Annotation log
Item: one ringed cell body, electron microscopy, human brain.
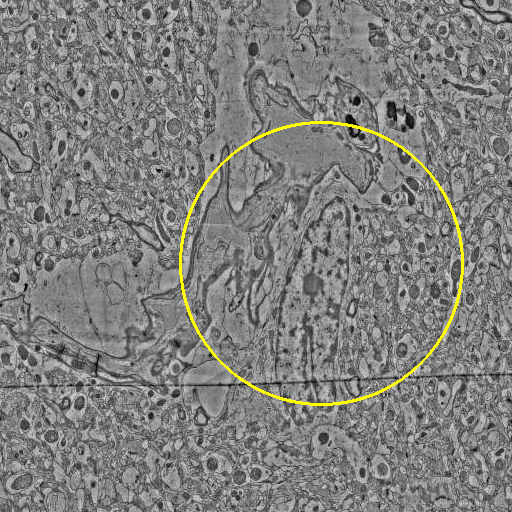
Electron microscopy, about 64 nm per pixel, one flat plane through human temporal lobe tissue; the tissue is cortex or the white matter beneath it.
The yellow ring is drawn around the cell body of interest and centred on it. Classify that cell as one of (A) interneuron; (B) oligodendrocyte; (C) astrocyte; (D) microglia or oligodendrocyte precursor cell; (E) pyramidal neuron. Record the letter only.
D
